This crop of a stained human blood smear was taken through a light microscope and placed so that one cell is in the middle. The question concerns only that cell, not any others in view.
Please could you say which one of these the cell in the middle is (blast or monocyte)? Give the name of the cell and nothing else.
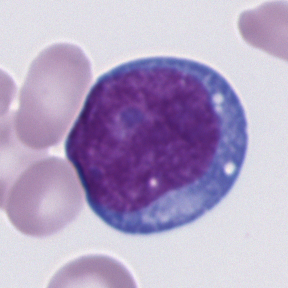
blast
